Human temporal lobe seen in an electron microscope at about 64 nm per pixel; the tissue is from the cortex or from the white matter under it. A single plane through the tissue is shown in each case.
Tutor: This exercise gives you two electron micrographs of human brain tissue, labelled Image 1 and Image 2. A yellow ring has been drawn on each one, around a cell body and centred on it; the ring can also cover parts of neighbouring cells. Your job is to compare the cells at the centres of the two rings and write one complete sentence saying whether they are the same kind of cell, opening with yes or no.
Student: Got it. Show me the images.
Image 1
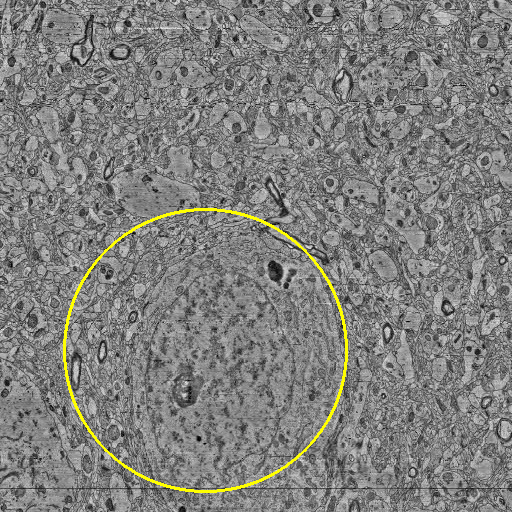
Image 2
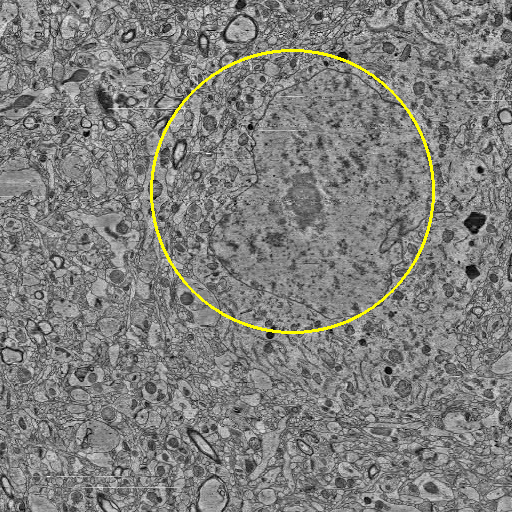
No, the two cells belong to two kinds.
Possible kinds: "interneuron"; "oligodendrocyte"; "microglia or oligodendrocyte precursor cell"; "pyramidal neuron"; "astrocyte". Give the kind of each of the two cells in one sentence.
The cell in the second picture is a pyramidal neuron, and that in the first is an interneuron.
